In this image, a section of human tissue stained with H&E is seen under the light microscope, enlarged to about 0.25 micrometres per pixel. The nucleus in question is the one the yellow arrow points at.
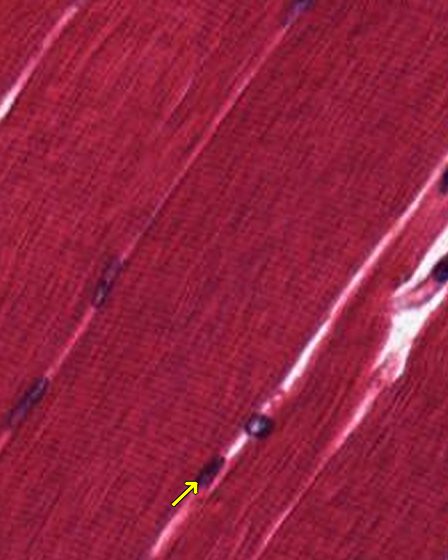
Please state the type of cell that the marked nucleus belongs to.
skeletal muscle fibre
